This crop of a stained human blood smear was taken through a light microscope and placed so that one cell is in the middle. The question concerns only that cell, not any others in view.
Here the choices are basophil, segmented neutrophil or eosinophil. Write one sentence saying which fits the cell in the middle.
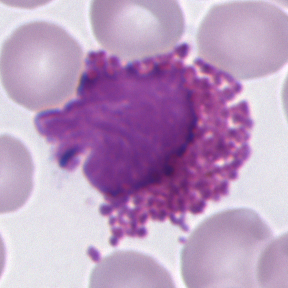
To answer, the cell in the center of the crop is an eosinophil.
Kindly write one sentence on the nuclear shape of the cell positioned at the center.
What stands out is a nucleus forming one compact round, oval or kidney-shaped mass.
